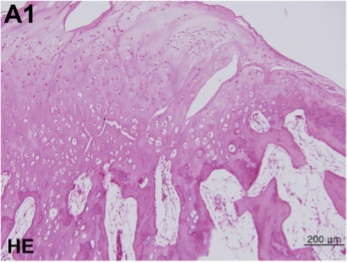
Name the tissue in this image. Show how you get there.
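Chondroid tissue. A broad band of pale-purple matrix holds many small cells in round lacunae. The cartilage-like band lies above bony trabeculae.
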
